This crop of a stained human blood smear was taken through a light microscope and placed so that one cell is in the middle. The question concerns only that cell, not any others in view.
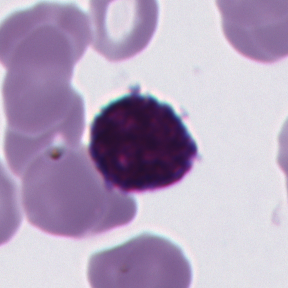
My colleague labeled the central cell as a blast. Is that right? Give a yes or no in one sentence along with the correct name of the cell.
Yes, the cell sitting in the middle of this smear crop is a blast.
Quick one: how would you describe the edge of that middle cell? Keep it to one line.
This cell does not have a smooth edge; it is ragged or extended into projections.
